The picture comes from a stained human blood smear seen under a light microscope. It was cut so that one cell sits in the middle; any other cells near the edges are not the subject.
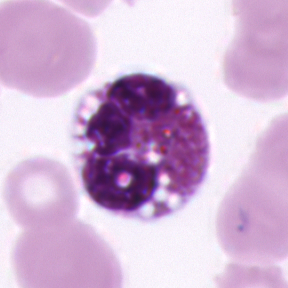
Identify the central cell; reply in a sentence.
Regarding the central cell, it is an eosinophil.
